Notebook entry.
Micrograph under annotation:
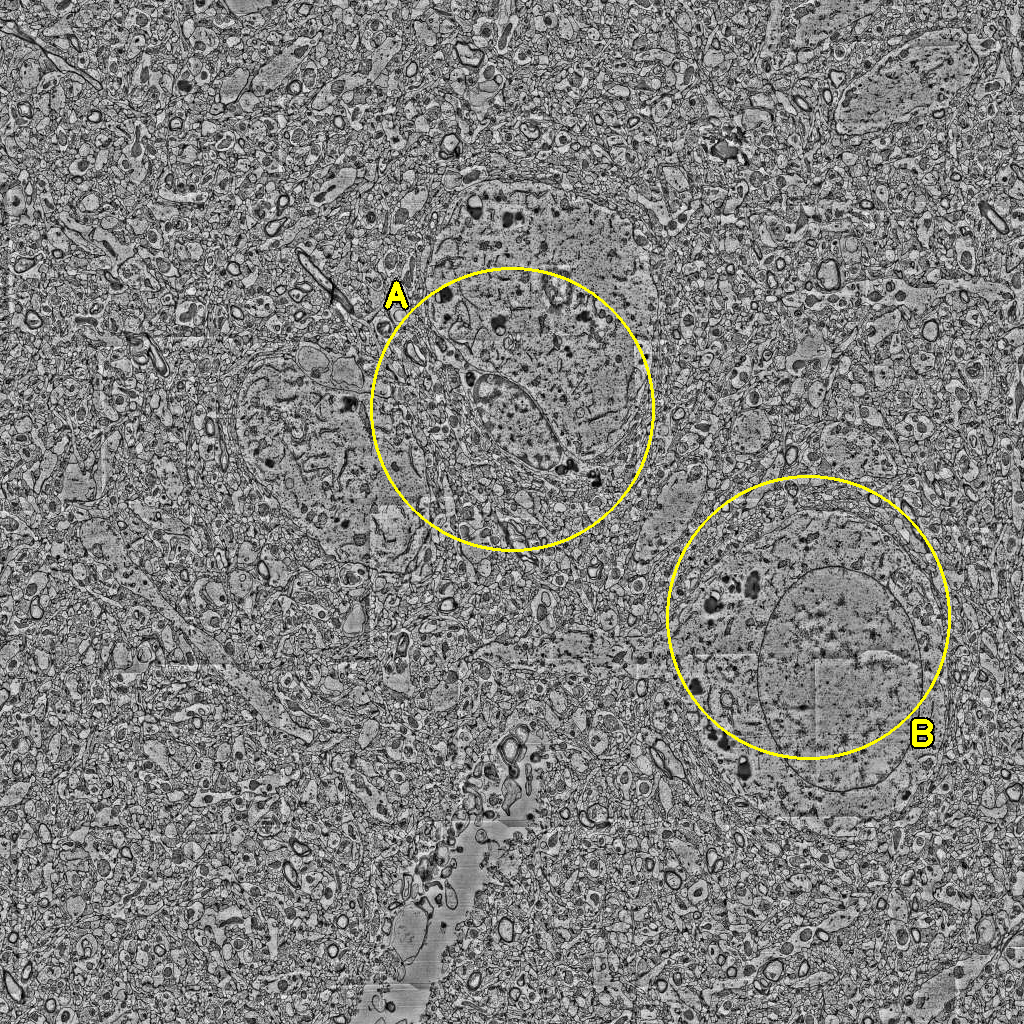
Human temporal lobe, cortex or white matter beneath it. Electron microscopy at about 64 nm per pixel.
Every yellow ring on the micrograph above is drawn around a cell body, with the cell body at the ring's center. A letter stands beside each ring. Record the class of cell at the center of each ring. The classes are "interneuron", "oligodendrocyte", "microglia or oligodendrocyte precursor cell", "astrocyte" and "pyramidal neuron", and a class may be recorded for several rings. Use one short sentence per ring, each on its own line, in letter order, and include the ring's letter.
Ring A is centered on a microglial cell or oligodendrocyte precursor cell.
Ring B is centered on a pyramidal neuron.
